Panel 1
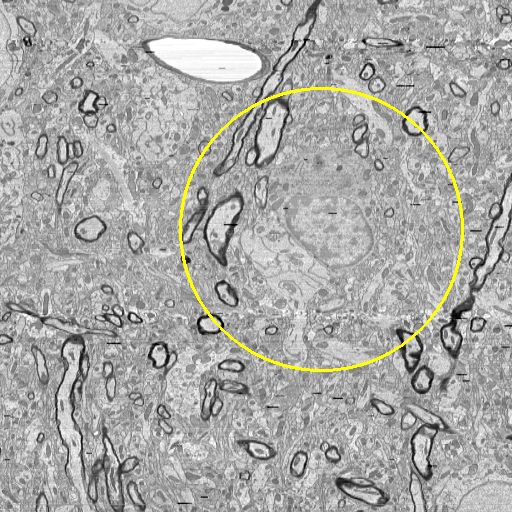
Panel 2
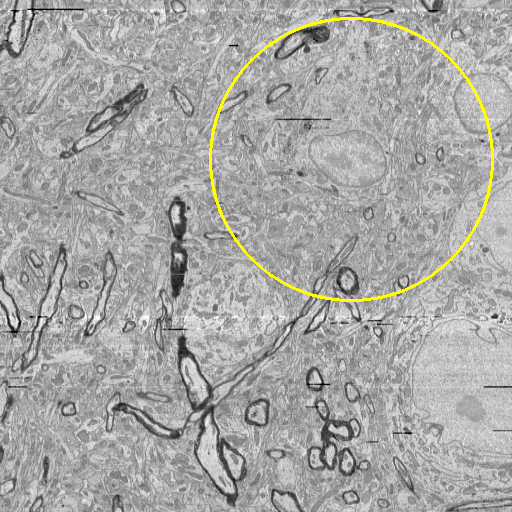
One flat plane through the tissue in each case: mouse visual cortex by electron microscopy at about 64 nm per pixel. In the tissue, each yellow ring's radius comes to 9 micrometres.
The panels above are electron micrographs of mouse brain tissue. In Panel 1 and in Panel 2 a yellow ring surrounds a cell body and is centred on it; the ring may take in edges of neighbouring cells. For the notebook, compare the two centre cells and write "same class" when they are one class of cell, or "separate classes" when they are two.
same class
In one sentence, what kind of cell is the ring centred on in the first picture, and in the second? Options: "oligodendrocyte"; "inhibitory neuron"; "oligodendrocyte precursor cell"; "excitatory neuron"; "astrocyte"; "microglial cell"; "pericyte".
Each cell, in the first picture and the second, is an oligodendrocyte.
